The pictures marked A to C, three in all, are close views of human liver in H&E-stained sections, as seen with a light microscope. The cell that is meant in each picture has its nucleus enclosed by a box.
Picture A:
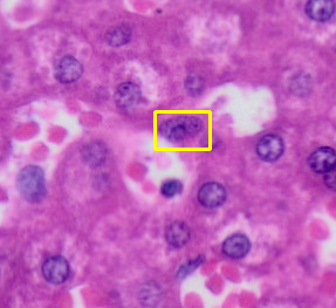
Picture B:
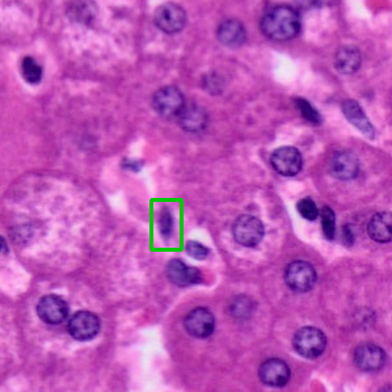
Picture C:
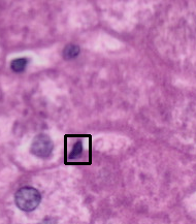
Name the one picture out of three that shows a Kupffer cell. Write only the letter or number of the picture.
A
